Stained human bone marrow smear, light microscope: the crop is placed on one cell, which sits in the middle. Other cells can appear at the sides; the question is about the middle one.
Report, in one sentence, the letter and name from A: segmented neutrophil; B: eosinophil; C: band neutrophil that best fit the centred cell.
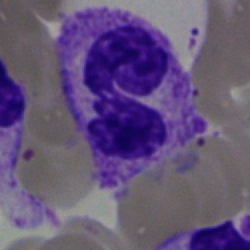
According to option A, which is correct, the cell in the middle is a segmented neutrophil.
